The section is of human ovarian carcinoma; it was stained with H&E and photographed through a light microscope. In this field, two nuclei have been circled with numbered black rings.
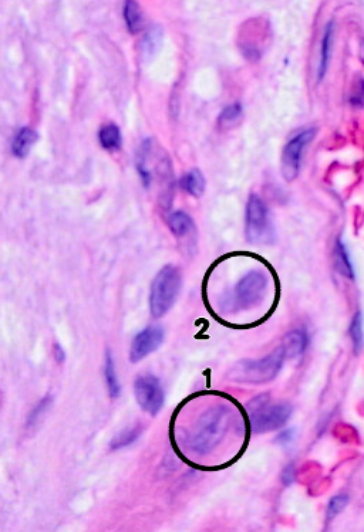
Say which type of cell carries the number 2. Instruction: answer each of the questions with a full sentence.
Number 2 among the marked cells is a fibroblast.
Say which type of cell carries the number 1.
Classified as an endothelial cell is the cell with the number 1.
